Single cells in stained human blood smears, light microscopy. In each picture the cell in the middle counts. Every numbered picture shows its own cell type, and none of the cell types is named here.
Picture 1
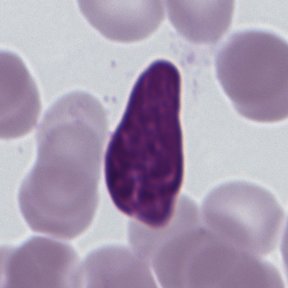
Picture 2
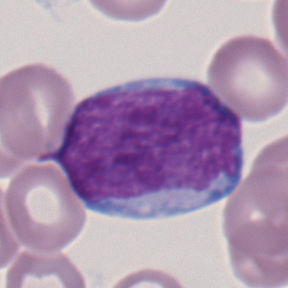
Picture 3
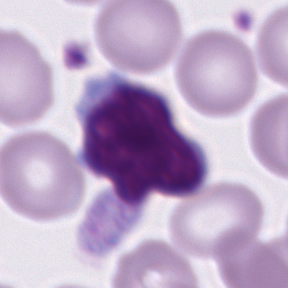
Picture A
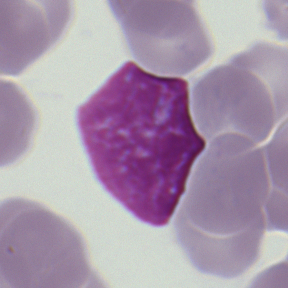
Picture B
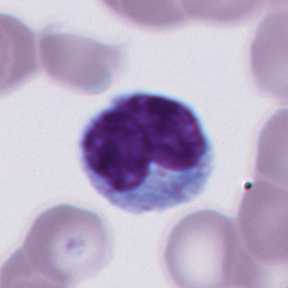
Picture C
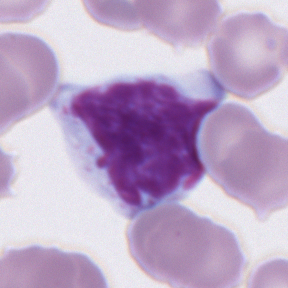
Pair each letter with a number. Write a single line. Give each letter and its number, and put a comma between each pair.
A 1, B 3, C 3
